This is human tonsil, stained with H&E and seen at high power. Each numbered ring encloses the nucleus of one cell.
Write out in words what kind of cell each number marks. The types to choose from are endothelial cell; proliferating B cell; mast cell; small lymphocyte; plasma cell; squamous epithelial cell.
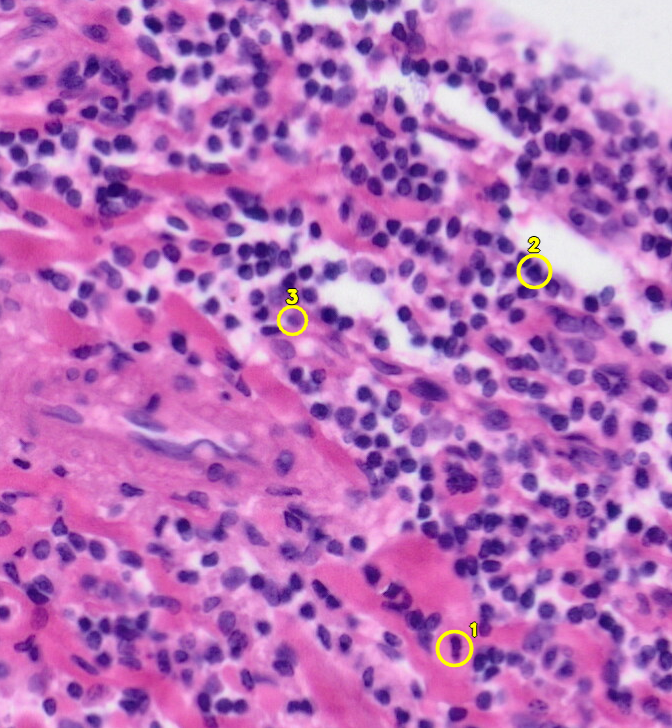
Cell 1 is a mast cell, cell 2 is a small lymphocyte and cell 3 is an endothelial cell.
